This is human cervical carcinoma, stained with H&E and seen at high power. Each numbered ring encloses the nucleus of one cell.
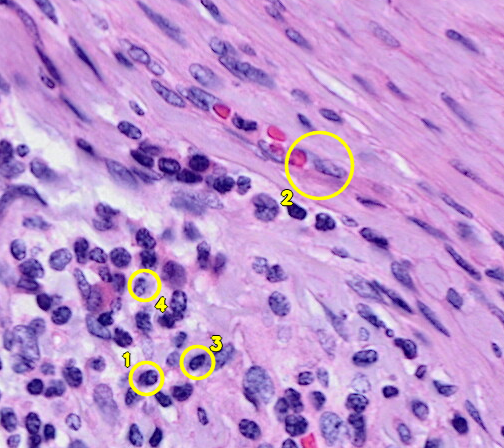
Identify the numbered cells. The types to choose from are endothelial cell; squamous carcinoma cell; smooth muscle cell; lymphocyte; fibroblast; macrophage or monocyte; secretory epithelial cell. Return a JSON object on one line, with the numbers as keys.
{"1": "lymphocyte", "2": "endothelial cell", "3": "lymphocyte", "4": "lymphocyte"}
